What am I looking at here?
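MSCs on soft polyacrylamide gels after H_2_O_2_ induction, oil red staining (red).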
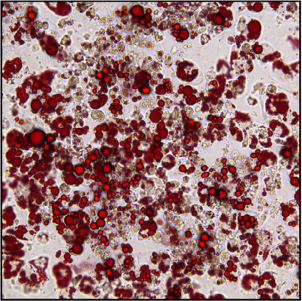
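The droplets vary widely in size, from fine granules to large spheres that fill much of a cell. They crowd together in clusters that cover most of the field, leaving pale unstained gaps between them. The outlines of individual cells are hard to make out beneath the packed droplets, and some cells carry only small yellowish-brown granules.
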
